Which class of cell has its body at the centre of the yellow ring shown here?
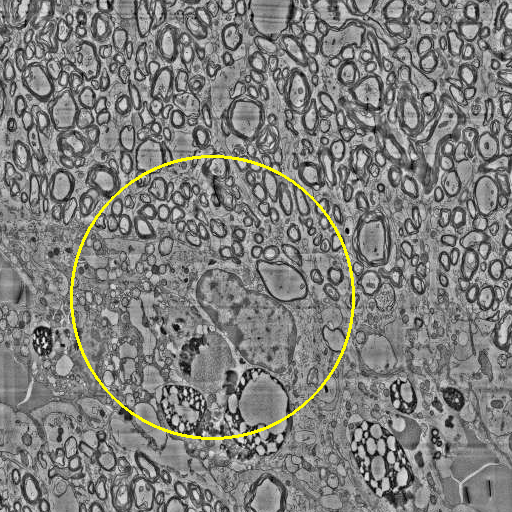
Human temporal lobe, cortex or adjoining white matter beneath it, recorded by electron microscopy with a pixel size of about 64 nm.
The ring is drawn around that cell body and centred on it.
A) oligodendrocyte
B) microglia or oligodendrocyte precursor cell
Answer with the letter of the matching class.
B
